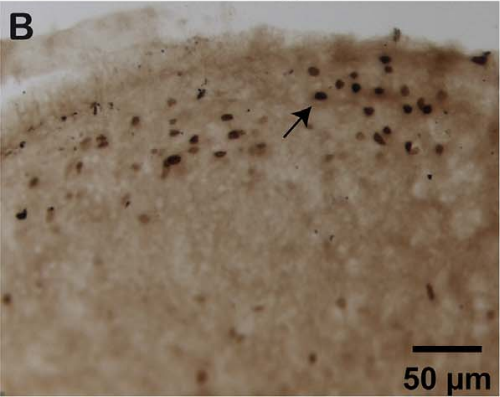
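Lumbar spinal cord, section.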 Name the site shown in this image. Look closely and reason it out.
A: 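Superficial dorsal horn. A curved outer border of the cord runs across the top. Stained nuclei are concentrated in a band just beneath that border.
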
